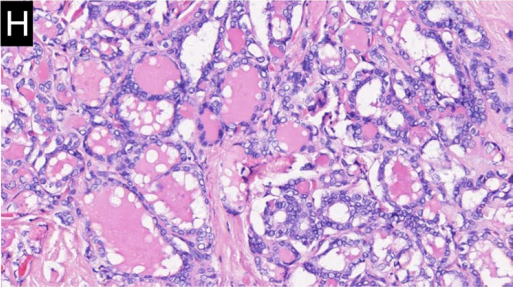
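Thyroid tumor built of follicular structures, many holding dense pink colloid, set in a pink fibrous stroma. The follicles are lined by cuboidal to columnar cells whose nuclei are enlarged, oval and crowded, often overlapping one another. Their chromatin is pale and cleared, giving the nuclei an empty look, and the nuclear outlines appear irregular. Some follicles are small and collapsed, with little or no colloid.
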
